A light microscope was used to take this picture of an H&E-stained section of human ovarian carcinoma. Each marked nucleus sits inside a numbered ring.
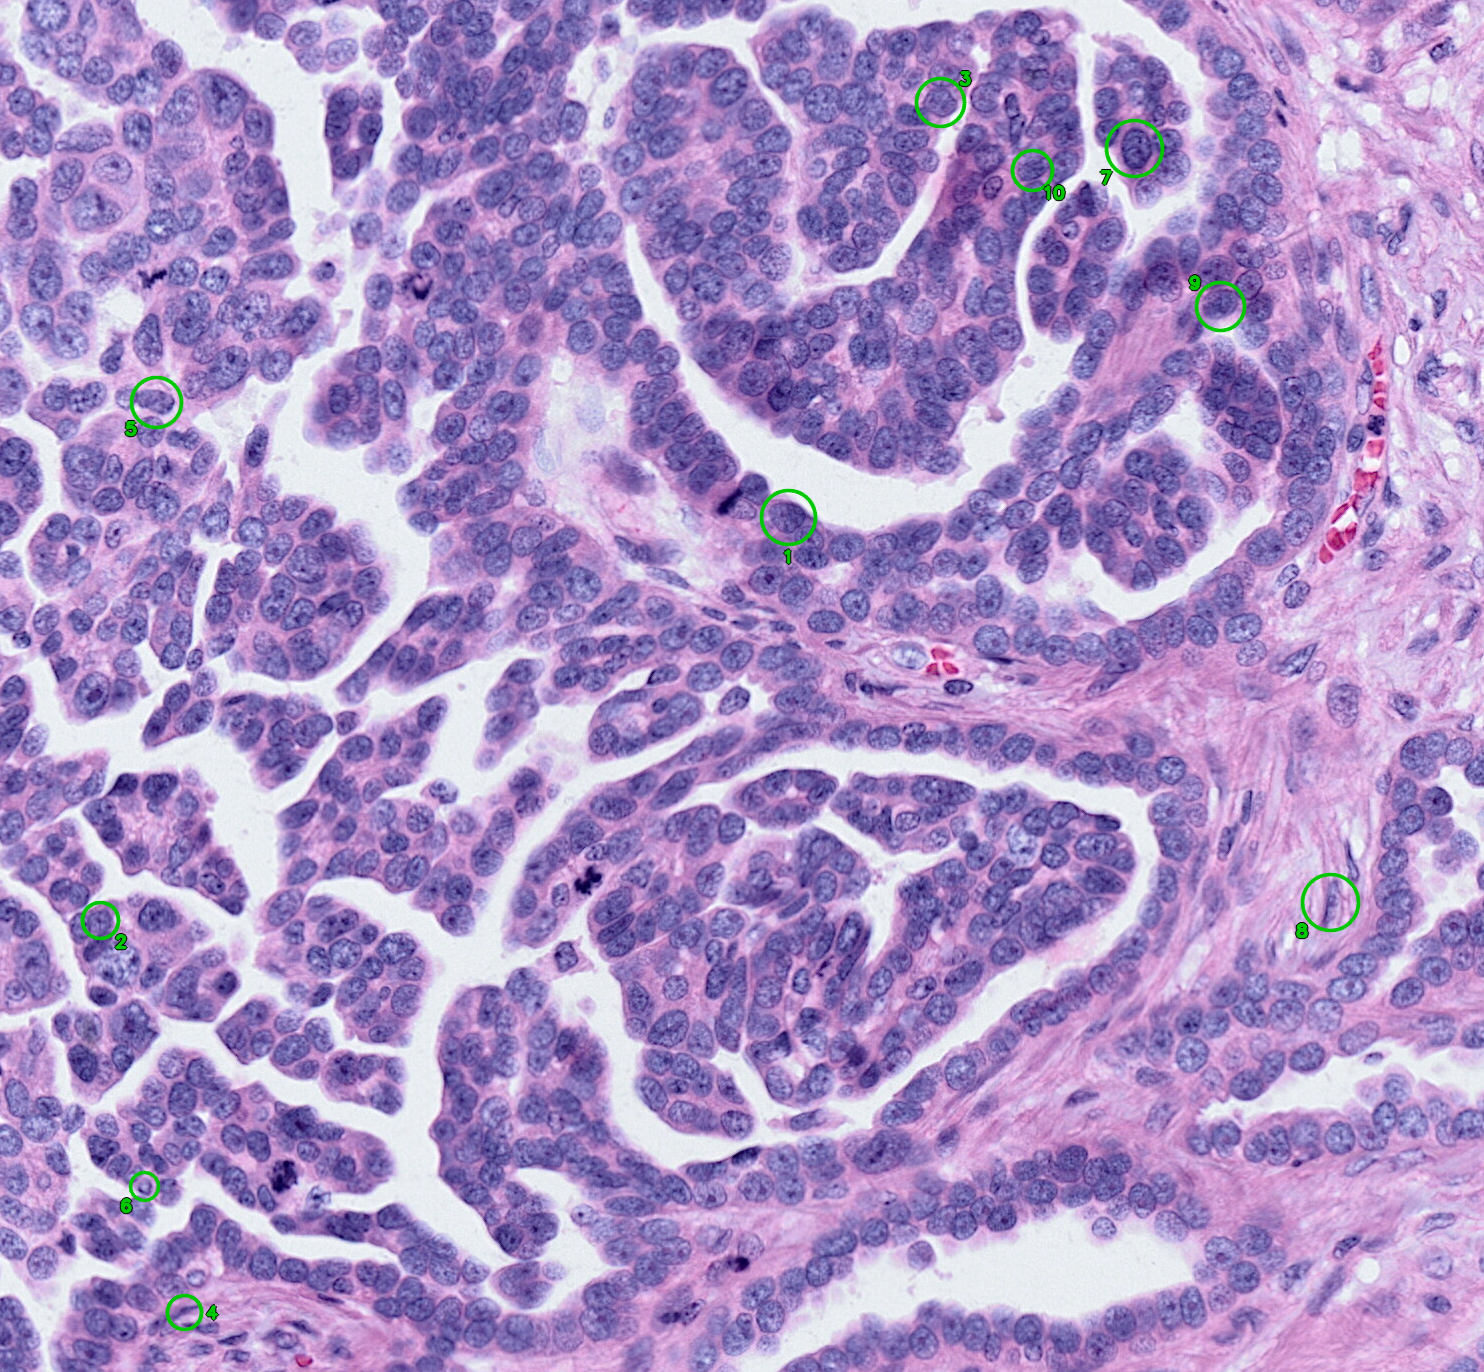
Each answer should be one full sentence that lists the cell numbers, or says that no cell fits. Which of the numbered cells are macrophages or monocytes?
The cells with numbers 5 and 6 are macrophages or monocytes by type.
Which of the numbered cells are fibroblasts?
By cell type, the cells numbered 4 and 8 are fibroblasts.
